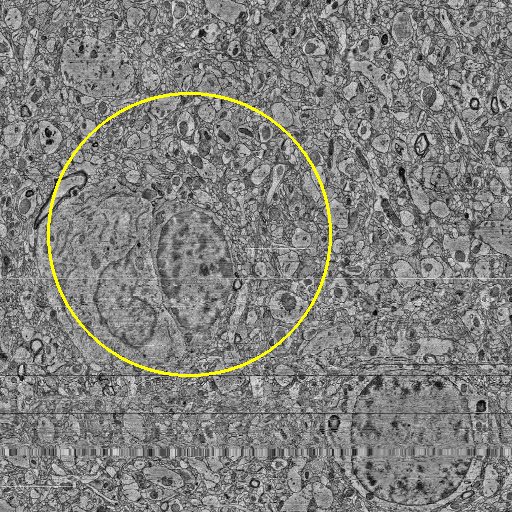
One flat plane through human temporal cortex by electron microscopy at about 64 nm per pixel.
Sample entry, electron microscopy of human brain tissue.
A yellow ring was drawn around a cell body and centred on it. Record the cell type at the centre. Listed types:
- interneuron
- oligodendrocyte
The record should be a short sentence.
The cell at the ring's centre is an oligodendrocyte.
